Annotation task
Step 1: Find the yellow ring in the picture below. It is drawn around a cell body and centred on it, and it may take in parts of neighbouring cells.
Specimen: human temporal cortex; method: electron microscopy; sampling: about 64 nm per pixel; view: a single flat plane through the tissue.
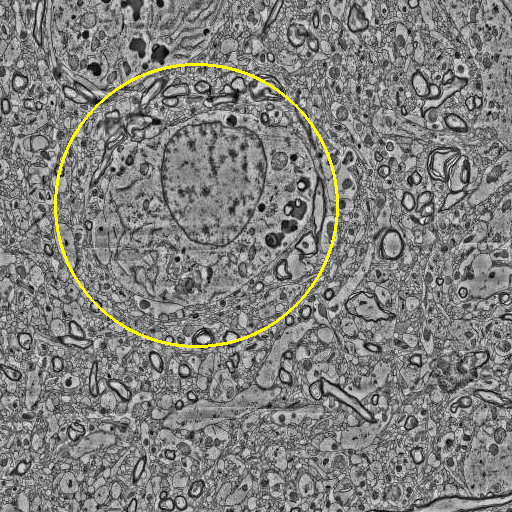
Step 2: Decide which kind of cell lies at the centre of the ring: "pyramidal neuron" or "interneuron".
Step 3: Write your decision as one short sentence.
The kind of cell at the ring's centre is a pyramidal neuron.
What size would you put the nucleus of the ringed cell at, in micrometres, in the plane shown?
In this plane, the nucleus is roughly 8 by 7 micrometres.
